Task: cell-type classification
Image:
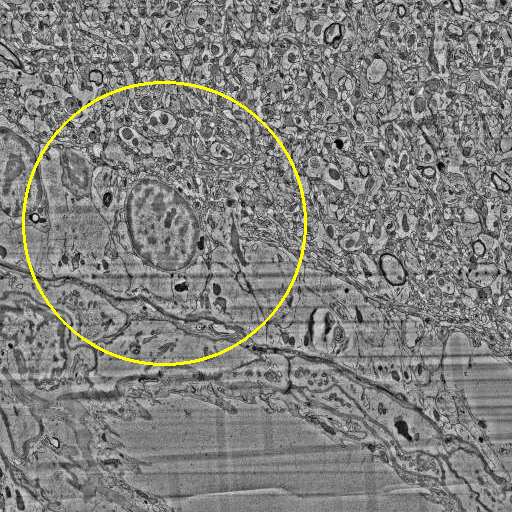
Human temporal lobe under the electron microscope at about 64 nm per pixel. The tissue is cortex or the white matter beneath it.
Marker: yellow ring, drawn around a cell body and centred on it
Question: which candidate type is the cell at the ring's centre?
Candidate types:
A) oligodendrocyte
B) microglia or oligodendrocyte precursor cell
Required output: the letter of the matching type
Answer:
A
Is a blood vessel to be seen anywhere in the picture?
Yes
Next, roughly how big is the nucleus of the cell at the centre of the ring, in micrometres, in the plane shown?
The nucleus has a long axis of about 6 micrometres and a short axis of about 4 micrometres in this plane.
